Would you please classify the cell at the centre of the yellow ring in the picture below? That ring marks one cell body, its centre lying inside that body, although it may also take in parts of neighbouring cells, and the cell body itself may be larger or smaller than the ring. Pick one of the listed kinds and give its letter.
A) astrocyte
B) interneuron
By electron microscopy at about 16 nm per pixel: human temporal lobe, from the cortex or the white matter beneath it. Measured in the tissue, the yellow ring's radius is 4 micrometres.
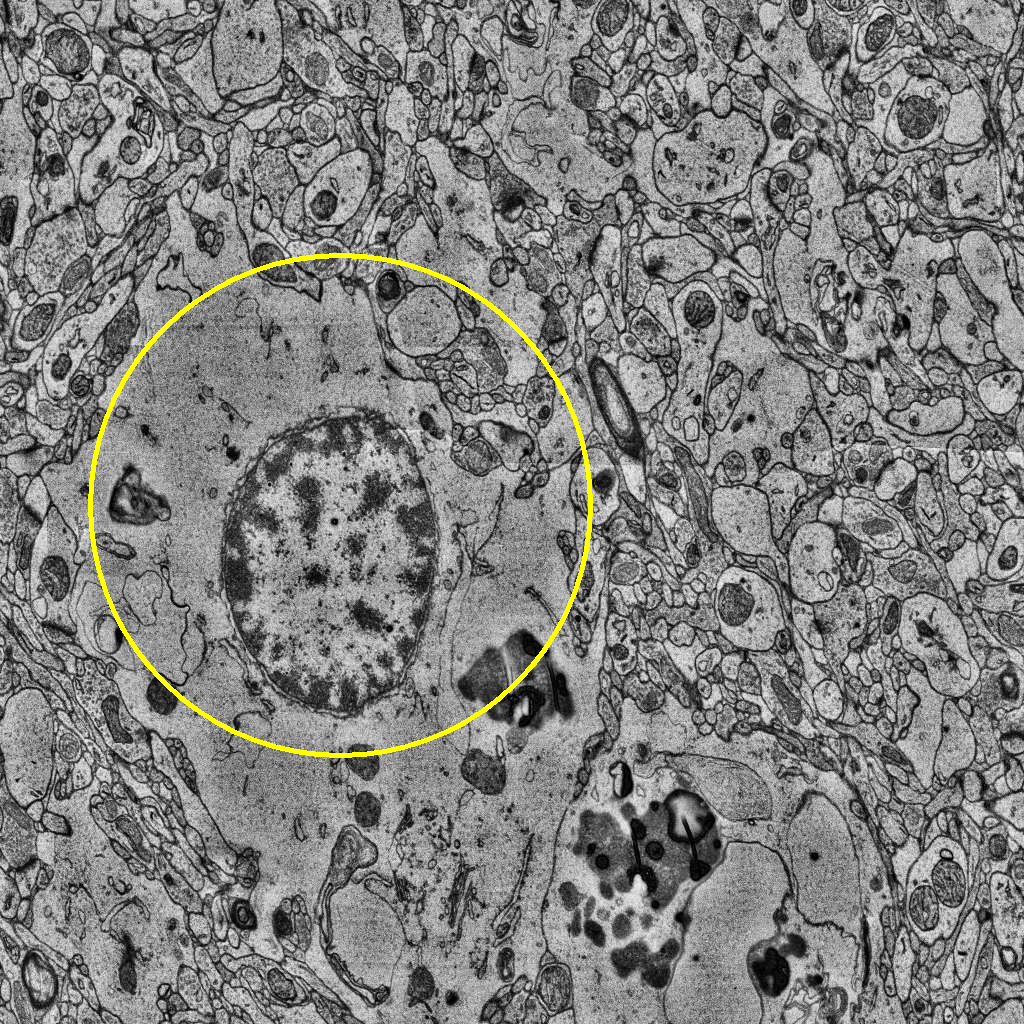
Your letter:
A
